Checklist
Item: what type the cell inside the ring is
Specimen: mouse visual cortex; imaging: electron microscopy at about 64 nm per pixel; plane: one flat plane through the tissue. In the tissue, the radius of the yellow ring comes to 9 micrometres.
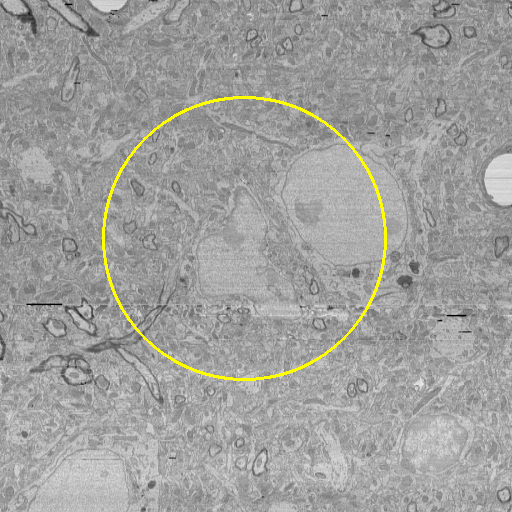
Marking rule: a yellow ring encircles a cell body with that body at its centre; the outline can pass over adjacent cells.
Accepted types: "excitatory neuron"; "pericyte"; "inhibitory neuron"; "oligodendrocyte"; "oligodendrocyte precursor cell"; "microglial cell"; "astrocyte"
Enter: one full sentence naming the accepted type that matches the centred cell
The entry is that an oligodendrocyte precursor cell lies at the centre of the yellow ring.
